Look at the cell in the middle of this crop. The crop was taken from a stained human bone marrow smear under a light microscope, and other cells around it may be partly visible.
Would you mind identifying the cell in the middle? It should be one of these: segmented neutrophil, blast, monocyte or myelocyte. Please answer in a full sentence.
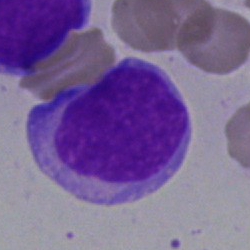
In the central position of this crop, the cell is a blast.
